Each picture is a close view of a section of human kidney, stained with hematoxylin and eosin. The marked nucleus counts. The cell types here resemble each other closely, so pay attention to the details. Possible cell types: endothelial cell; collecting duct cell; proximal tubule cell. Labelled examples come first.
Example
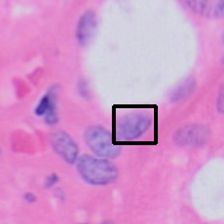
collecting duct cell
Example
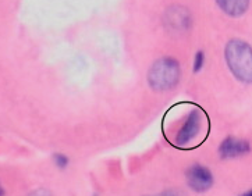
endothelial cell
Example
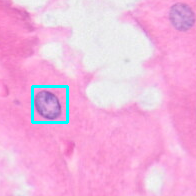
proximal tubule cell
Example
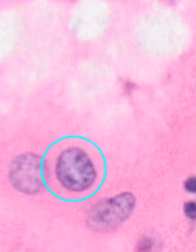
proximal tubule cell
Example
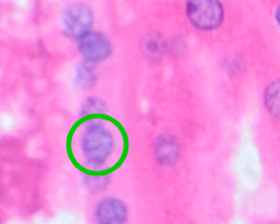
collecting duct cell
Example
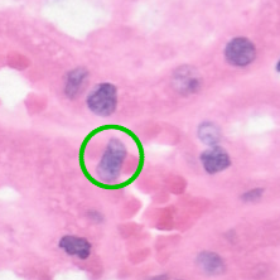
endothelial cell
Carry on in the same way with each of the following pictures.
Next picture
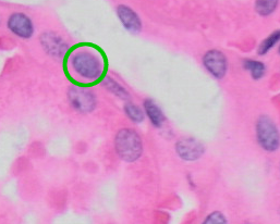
collecting duct cell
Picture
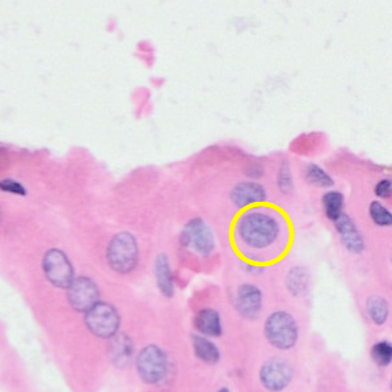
collecting duct cell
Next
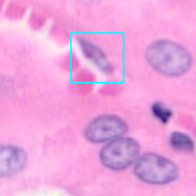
endothelial cell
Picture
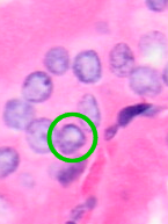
collecting duct cell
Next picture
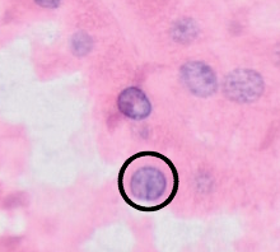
proximal tubule cell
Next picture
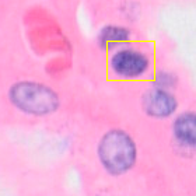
collecting duct cell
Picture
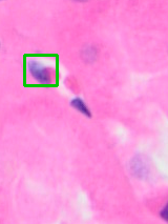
endothelial cell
